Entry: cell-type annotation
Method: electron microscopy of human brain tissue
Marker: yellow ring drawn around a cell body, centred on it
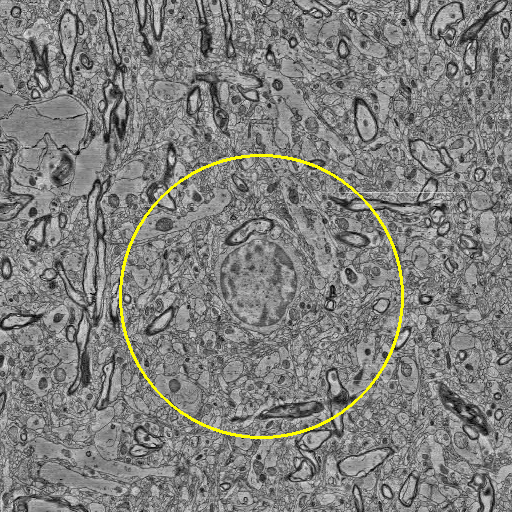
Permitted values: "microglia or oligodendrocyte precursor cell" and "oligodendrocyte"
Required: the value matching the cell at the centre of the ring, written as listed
oligodendrocyte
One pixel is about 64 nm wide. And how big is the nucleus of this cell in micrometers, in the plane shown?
The ringed cell's nucleus measures approximately 6 by 5 micrometres in this plane.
